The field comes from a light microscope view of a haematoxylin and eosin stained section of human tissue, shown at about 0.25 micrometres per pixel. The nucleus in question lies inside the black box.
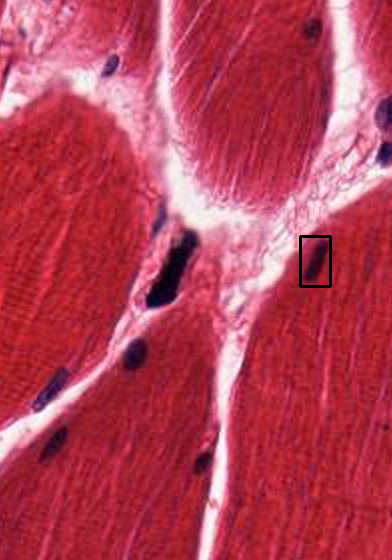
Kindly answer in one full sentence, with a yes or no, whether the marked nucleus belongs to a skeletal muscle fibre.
Yes, a skeletal muscle fibre is what the marked nucleus belongs to.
